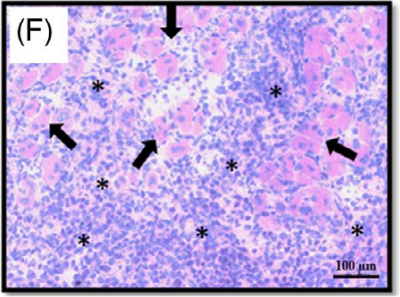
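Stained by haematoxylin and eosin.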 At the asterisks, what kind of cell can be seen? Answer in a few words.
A: Immune cells.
